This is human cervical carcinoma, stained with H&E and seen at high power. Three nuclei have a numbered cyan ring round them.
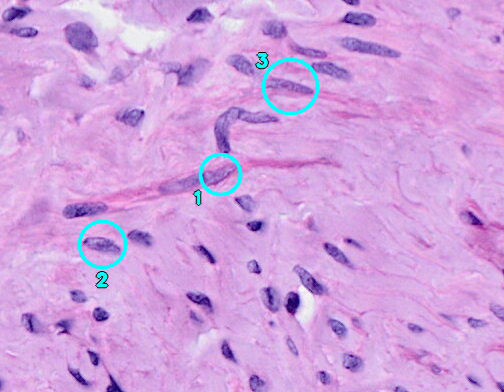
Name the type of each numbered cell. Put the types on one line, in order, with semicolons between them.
smooth muscle cell; fibroblast; smooth muscle cell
